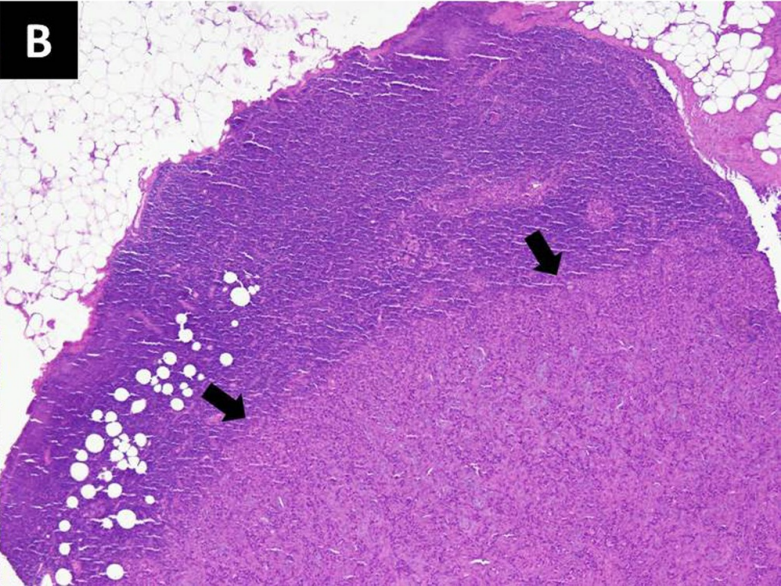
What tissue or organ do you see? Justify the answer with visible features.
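A dense, dark purple cellular organ with a thin capsule. The organ is surrounded by fat. On this evidence: lymph node.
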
